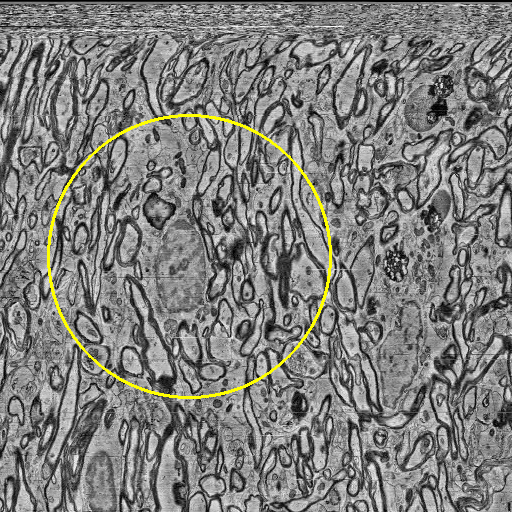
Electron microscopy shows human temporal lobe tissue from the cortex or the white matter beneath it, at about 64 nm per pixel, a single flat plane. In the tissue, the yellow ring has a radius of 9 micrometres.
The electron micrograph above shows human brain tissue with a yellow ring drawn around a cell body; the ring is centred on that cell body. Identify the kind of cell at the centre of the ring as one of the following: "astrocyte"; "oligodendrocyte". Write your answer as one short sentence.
The cell at the centre of the ring is an oligodendrocyte.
